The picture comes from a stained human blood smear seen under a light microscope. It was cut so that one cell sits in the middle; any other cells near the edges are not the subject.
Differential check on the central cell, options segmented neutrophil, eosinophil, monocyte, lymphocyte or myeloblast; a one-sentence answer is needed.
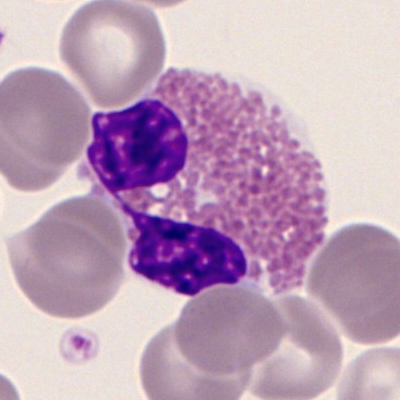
Whatever else lies nearby, the middle cell is an eosinophil.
